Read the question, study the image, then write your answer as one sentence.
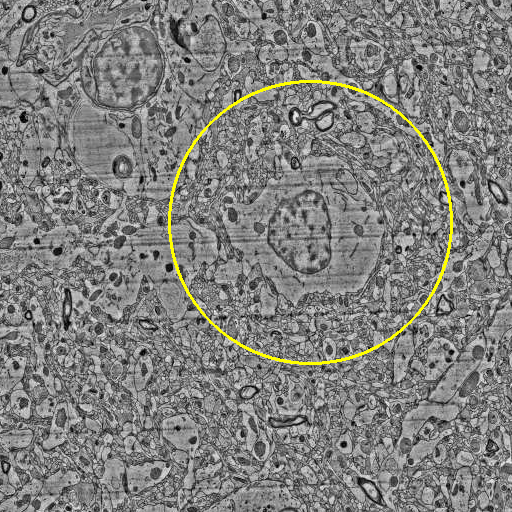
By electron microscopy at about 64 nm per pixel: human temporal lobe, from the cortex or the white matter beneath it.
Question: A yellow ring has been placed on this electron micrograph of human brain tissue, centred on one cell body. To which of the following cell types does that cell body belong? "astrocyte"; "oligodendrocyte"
That cell body belongs to an astrocyte.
